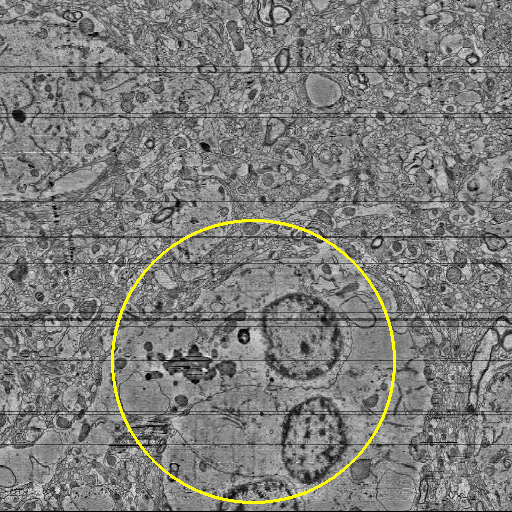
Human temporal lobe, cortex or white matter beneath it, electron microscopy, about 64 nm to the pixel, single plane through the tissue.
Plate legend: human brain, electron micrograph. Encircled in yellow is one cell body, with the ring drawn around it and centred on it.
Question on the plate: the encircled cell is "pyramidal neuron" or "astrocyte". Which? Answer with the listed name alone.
astrocyte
